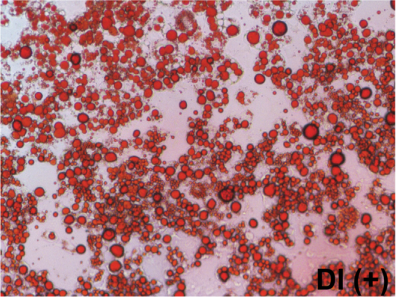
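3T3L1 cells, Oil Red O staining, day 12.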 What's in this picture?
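Cultured mature adipocytes are crowded with round lipid droplets stained bright red. The droplets vary from small to large and lie in dense clusters that fill most of the field, with pale pink background showing between them.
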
